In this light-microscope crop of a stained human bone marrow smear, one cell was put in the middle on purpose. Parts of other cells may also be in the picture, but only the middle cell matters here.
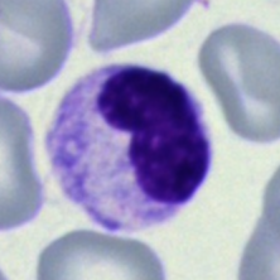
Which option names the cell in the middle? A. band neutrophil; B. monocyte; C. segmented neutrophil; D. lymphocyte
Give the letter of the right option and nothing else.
A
